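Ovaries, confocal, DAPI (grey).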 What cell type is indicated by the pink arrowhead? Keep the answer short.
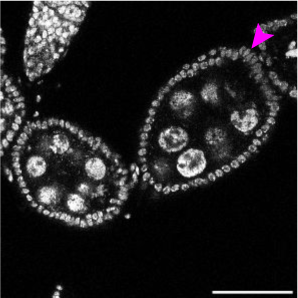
Follicle cells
